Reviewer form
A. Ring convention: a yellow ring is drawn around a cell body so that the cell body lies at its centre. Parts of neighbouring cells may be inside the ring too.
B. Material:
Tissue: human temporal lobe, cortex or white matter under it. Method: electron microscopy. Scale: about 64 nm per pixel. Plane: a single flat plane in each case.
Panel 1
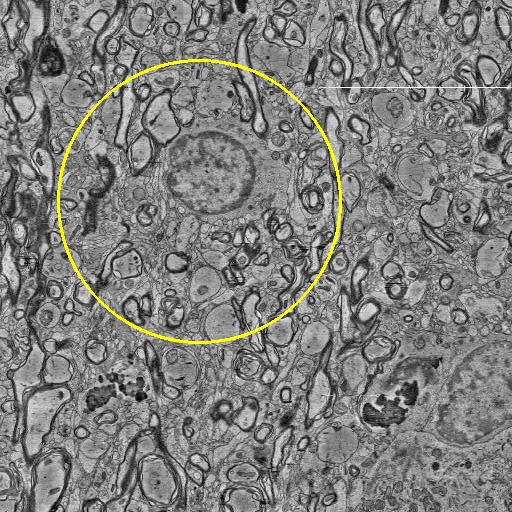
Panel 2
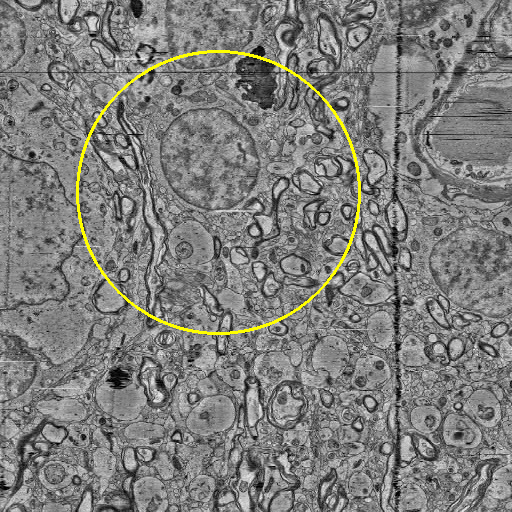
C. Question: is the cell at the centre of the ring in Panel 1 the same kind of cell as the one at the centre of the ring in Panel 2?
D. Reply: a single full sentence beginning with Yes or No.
Yes, the cells in Panel 1 and Panel 2 are the same kind of cell.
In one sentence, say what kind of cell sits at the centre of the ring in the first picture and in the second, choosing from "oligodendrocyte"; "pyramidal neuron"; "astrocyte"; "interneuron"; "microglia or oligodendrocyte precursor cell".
The cell at the ring centre is an oligodendrocyte in both pictures.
